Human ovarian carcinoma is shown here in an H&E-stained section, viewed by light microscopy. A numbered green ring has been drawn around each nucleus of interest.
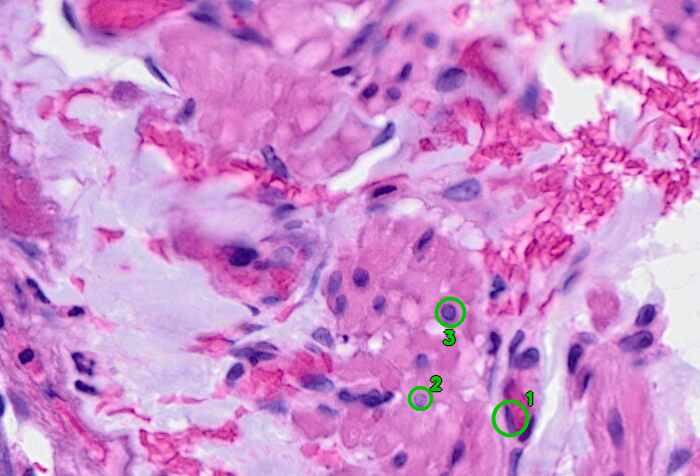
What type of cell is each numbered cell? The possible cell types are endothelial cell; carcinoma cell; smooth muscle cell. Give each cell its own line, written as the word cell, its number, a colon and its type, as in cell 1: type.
cell 1: endothelial cell
cell 2: smooth muscle cell
cell 3: smooth muscle cell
